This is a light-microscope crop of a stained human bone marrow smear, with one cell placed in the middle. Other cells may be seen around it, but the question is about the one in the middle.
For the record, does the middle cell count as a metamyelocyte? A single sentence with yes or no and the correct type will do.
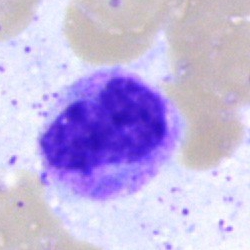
Yes, the cell at the midpoint of the crop is a metamyelocyte.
